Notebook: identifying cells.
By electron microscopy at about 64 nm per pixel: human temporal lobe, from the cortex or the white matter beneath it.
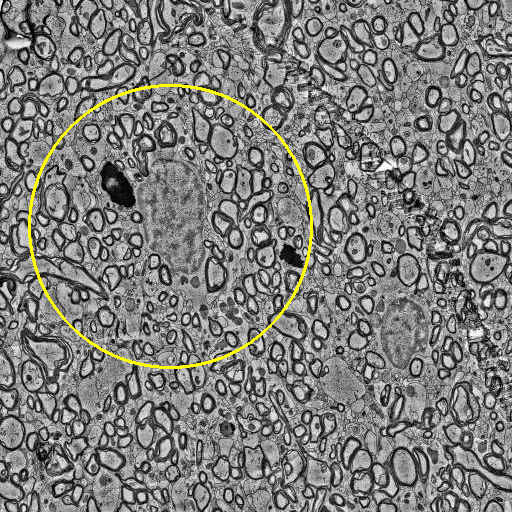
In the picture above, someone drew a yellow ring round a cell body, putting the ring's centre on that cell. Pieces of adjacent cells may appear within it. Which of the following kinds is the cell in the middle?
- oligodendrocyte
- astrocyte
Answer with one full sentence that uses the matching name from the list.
In this picture, the yellow ring is centred on the body of an oligodendrocyte.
